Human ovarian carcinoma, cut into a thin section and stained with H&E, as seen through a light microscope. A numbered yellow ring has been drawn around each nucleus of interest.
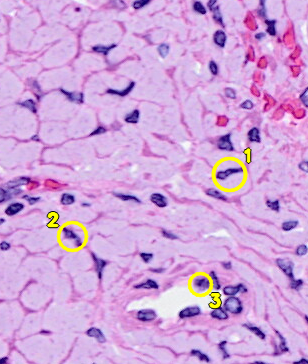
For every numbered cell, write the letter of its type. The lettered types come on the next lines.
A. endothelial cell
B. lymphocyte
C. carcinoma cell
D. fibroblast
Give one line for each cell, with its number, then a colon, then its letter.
1: D
2: D
3: A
